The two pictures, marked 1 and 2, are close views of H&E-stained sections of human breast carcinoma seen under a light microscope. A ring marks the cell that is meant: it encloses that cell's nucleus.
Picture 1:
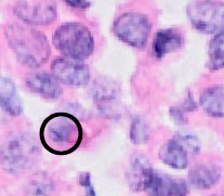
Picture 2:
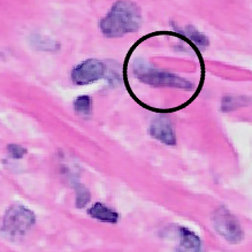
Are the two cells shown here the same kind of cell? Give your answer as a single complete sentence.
Yes, both are endothelial cells.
